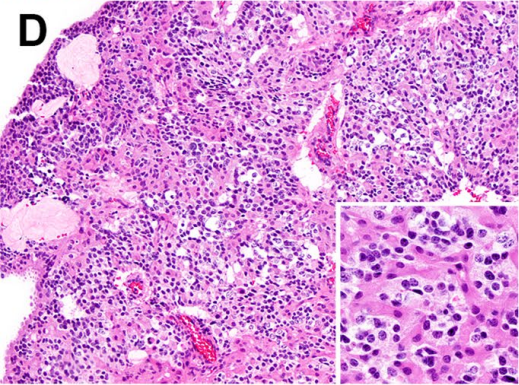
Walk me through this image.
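Tumor beneath a surface lining composed of two intermixed parts. Strands of cells with abundant pink cytoplasm interconnect in a net-like, anastomosing pattern. Between them lie small round tumor cells with dark nuclei and little cytoplasm. A thin surface epithelium runs along the left edge, with pale pink secretion in small spaces. Small blood vessels with red cells course through the tumor.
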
